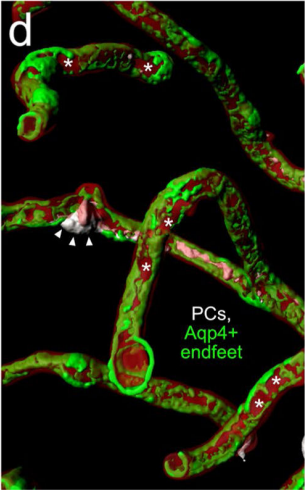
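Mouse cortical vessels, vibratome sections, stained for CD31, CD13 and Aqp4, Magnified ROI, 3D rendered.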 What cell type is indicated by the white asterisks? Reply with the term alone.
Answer: endothelial cells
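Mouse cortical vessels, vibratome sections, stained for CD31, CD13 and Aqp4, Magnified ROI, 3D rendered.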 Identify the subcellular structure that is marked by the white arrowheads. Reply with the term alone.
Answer: Cell body.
